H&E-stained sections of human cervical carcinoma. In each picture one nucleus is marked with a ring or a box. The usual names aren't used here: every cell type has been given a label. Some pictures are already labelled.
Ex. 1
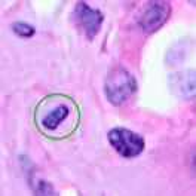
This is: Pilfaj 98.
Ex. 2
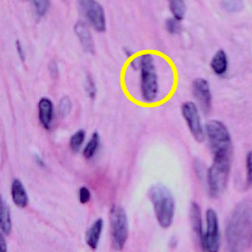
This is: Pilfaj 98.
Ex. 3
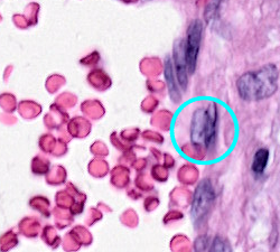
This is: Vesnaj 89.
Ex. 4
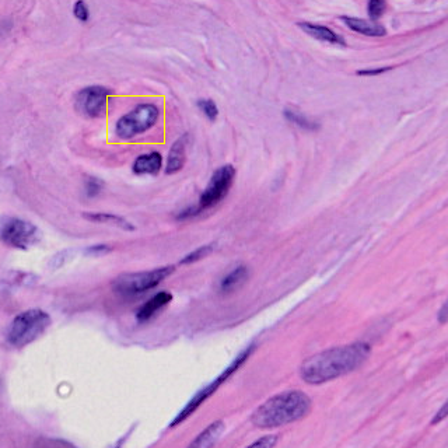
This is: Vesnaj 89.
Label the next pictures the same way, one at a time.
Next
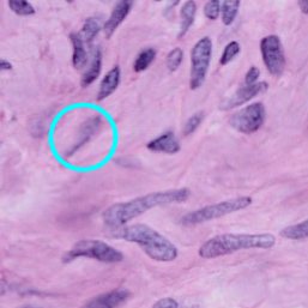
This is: Pilfaj 98.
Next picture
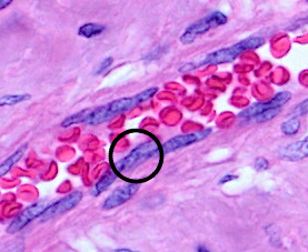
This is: Vesnaj 89.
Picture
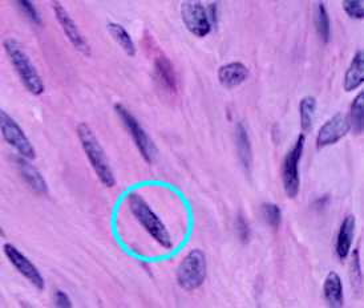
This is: Pilfaj 98.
